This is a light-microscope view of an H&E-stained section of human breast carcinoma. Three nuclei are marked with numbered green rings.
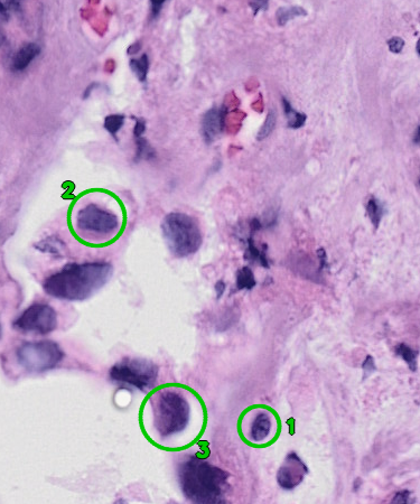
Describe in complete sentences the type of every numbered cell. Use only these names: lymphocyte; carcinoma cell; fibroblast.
Cell 1 is a lymphocyte, cell 2 is a carcinoma cell and cell 3 is a carcinoma cell.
